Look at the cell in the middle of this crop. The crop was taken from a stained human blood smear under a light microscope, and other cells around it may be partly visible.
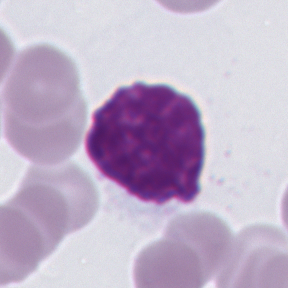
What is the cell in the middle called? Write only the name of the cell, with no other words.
smudge cell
